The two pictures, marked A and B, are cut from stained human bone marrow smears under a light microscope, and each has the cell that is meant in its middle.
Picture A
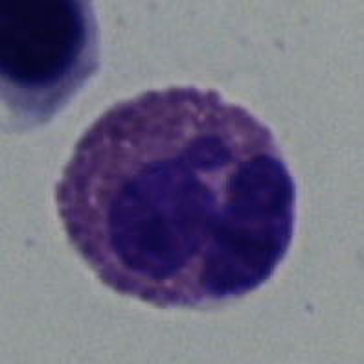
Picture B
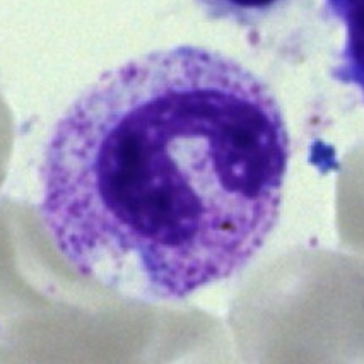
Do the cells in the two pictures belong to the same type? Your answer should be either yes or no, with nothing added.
no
